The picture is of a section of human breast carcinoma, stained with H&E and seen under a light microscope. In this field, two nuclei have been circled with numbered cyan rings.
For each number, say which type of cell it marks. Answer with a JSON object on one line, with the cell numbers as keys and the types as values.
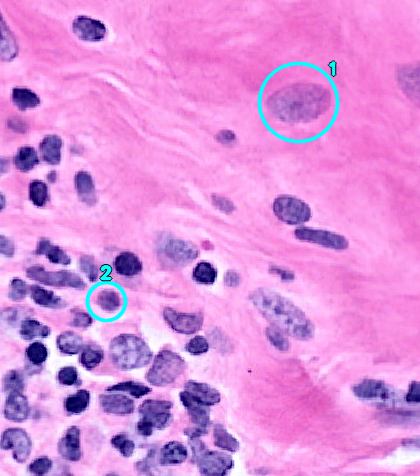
{"1": "fibroblast", "2": "lymphocyte"}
